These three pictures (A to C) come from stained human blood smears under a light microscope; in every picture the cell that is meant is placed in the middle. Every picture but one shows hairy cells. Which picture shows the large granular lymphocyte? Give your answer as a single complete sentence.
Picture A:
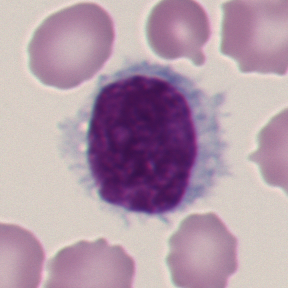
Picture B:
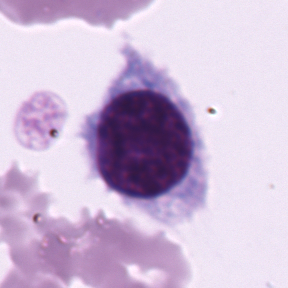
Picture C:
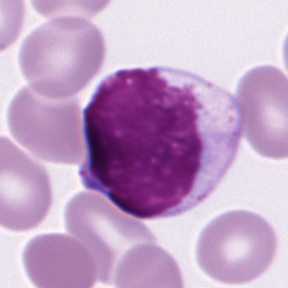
It is picture C that shows the large granular lymphocyte.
